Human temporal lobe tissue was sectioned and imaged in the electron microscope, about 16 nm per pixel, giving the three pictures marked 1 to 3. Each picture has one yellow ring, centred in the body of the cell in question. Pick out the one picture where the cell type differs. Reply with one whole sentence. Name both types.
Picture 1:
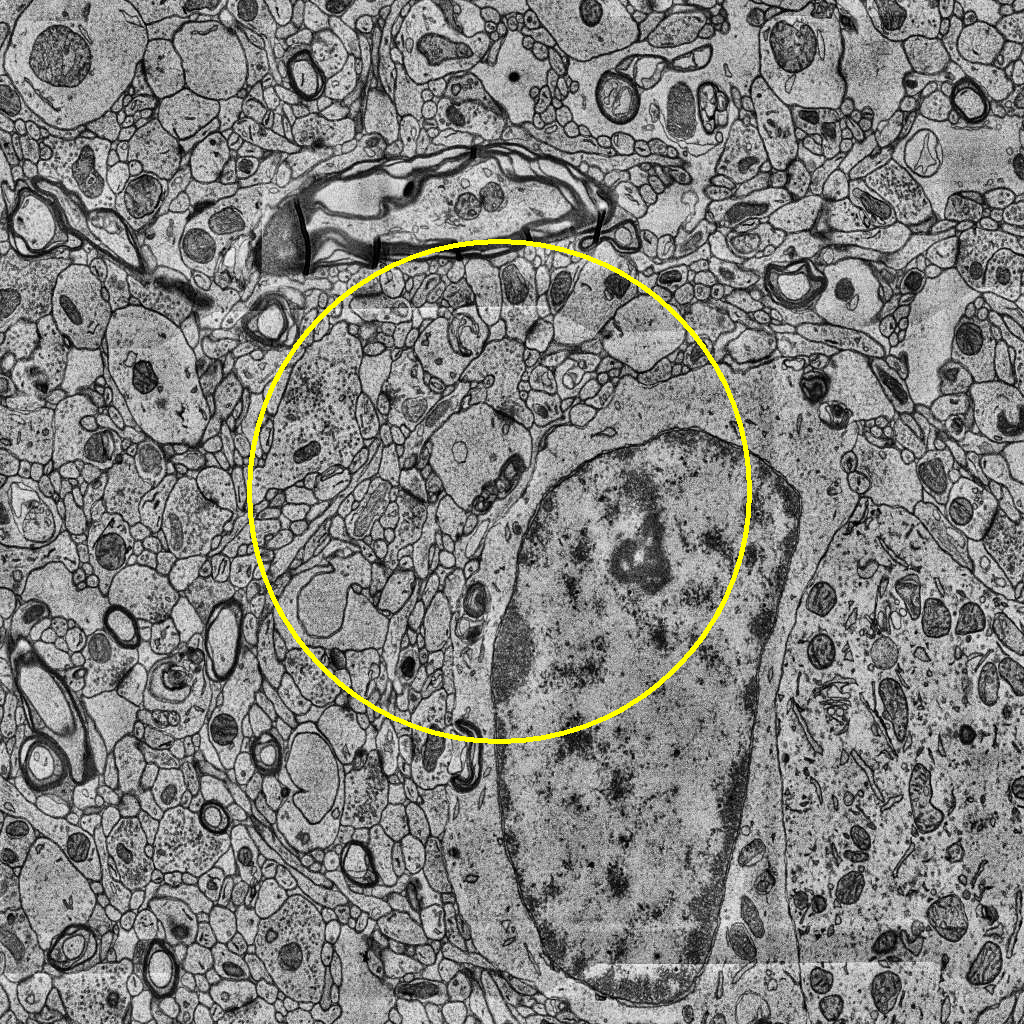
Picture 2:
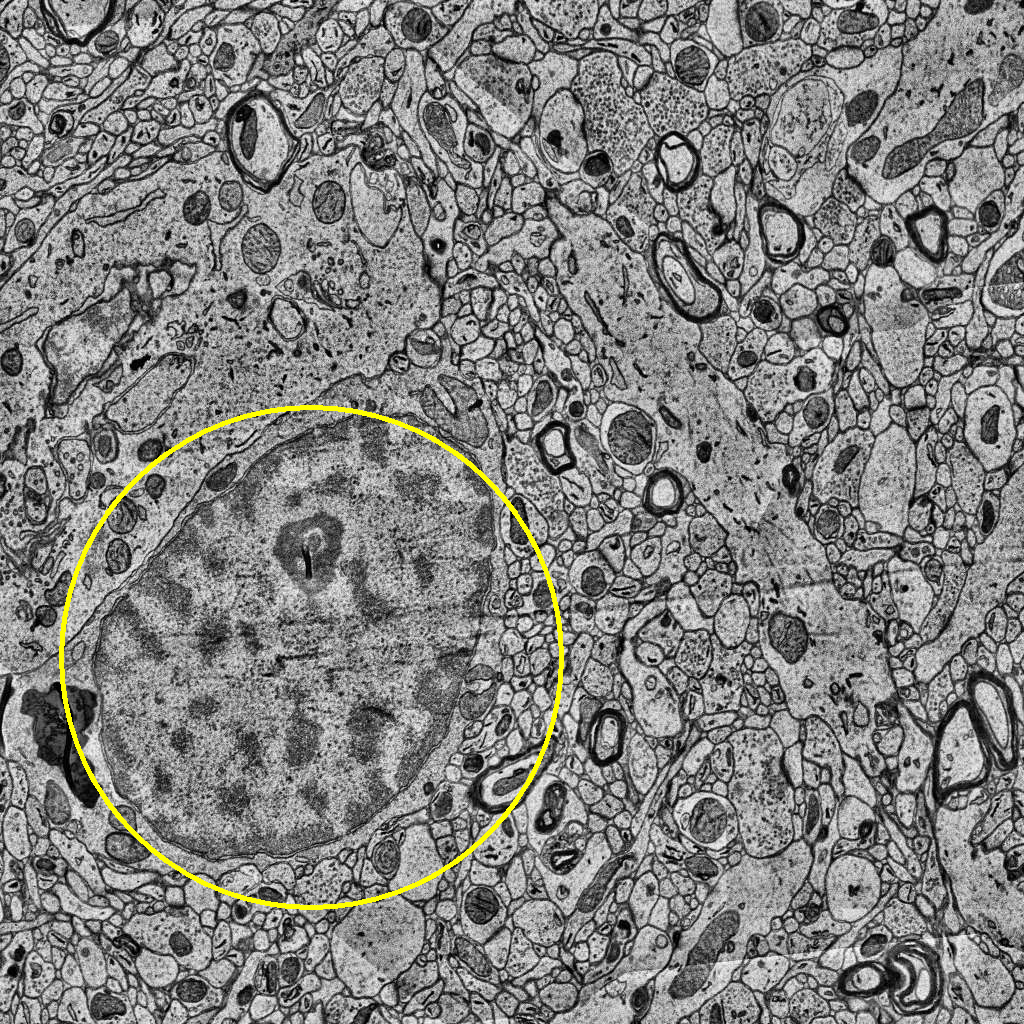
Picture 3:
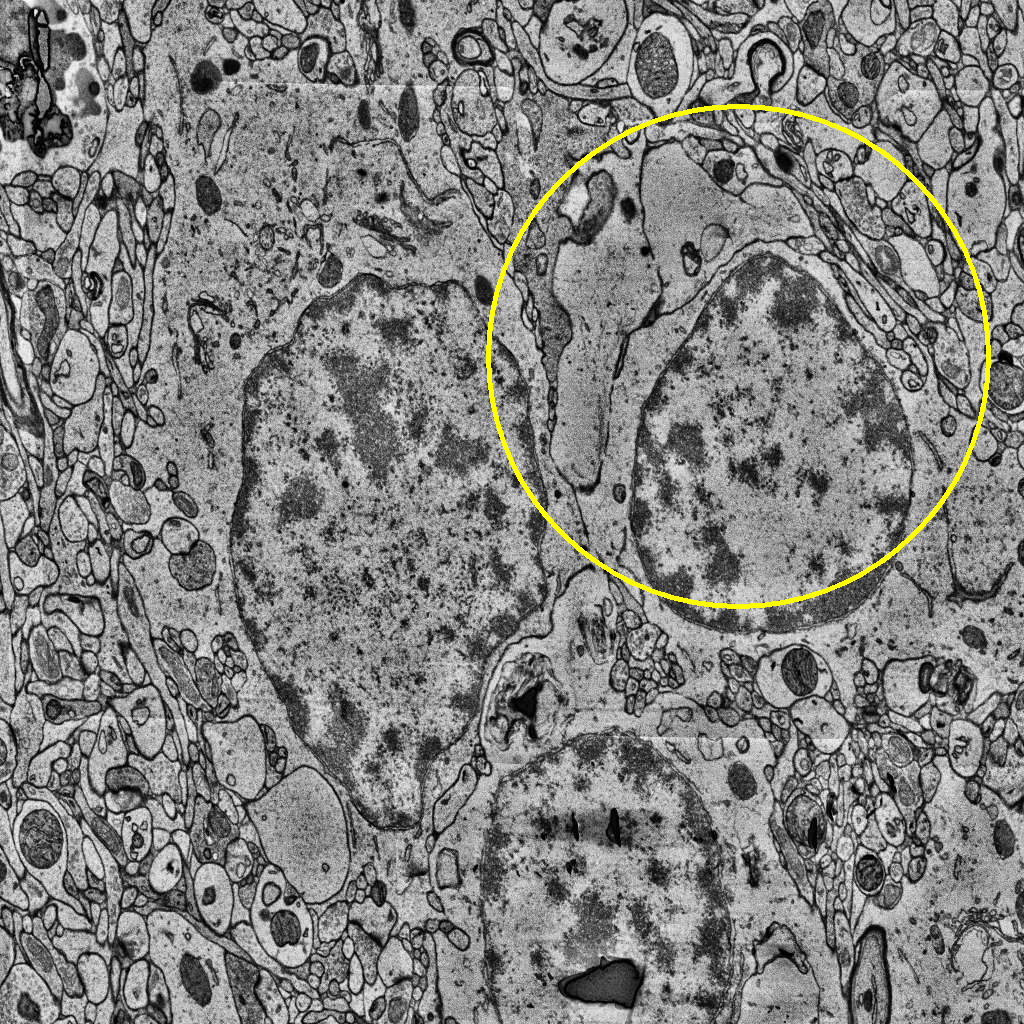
Unlike the rest, which show oligodendrocytes, picture 3 shows an astrocyte.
